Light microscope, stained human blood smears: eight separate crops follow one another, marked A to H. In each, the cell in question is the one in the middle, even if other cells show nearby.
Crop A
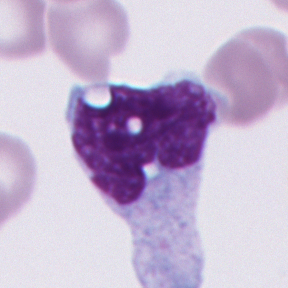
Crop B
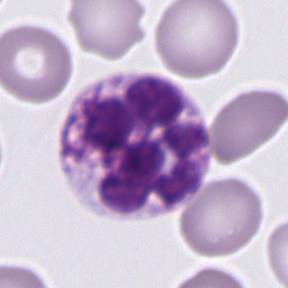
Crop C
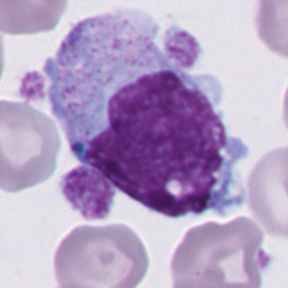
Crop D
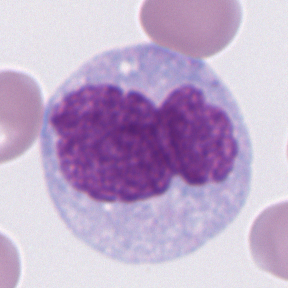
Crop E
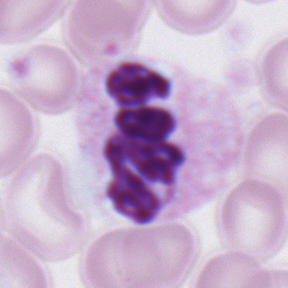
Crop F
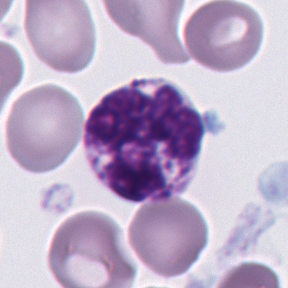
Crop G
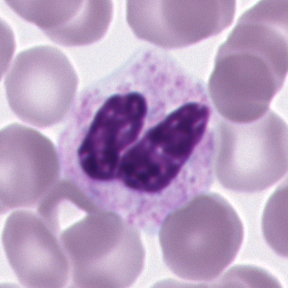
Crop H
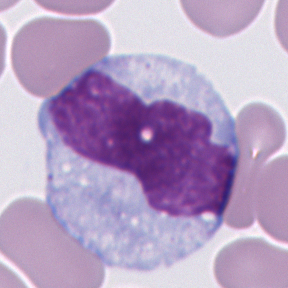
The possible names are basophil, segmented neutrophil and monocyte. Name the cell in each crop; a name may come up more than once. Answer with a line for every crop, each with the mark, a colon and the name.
A: monocyte
B: basophil
C: monocyte
D: monocyte
E: segmented neutrophil
F: basophil
G: segmented neutrophil
H: monocyte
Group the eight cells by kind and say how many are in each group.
monocyte: 4
basophil: 2
segmented neutrophil: 2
